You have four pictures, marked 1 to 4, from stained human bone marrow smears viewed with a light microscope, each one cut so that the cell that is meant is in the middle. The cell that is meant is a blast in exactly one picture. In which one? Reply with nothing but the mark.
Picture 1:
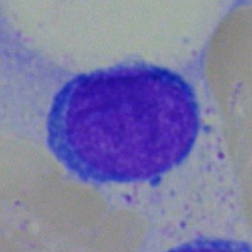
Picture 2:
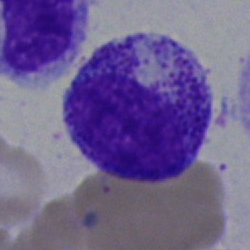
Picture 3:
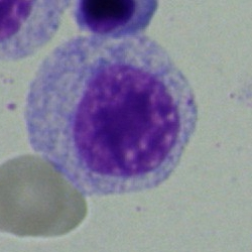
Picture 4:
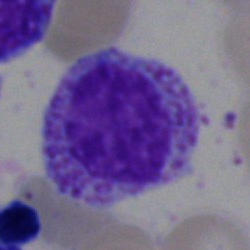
1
